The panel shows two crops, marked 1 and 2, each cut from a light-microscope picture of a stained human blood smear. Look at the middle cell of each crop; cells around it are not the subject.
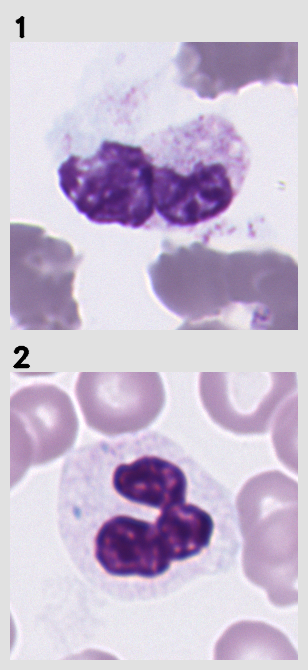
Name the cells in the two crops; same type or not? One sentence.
Yes, at the centre of both crops are segmented neutrophils.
